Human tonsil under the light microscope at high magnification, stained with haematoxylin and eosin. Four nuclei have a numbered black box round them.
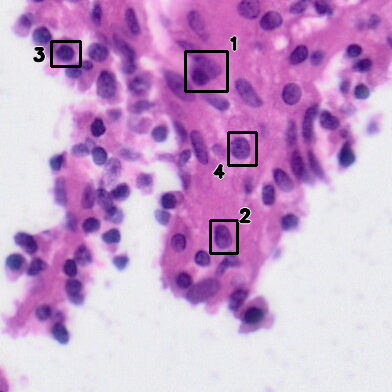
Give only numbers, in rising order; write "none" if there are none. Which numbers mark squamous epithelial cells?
1, 2, 4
